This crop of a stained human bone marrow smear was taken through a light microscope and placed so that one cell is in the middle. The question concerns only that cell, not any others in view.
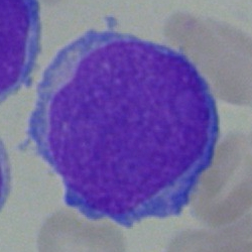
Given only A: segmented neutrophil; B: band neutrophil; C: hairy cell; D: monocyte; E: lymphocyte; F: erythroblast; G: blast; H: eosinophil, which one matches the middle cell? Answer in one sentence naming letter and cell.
Option G is correct here, and the cell in the middle is a blast.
